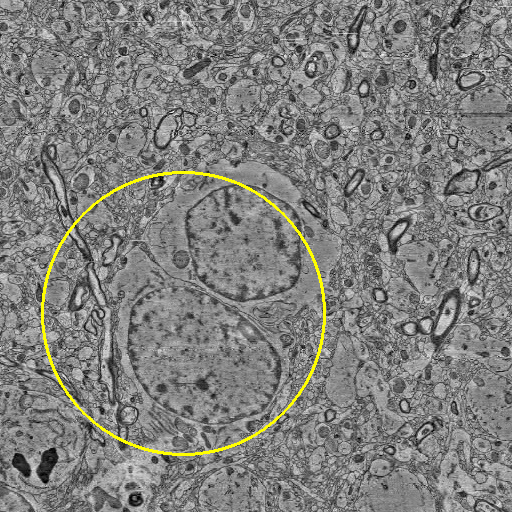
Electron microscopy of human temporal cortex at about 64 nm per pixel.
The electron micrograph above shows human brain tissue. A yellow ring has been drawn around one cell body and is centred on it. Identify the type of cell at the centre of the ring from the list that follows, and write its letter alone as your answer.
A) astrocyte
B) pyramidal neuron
A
